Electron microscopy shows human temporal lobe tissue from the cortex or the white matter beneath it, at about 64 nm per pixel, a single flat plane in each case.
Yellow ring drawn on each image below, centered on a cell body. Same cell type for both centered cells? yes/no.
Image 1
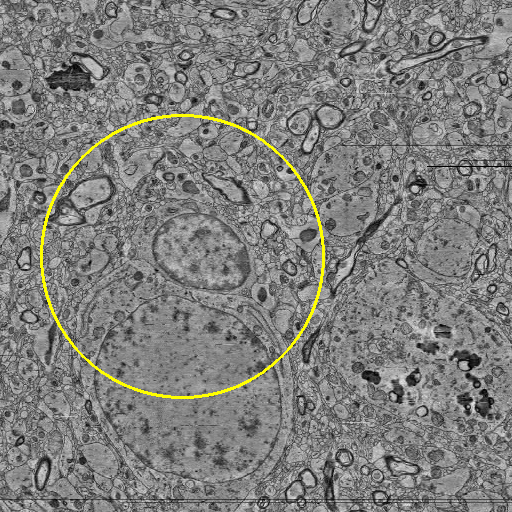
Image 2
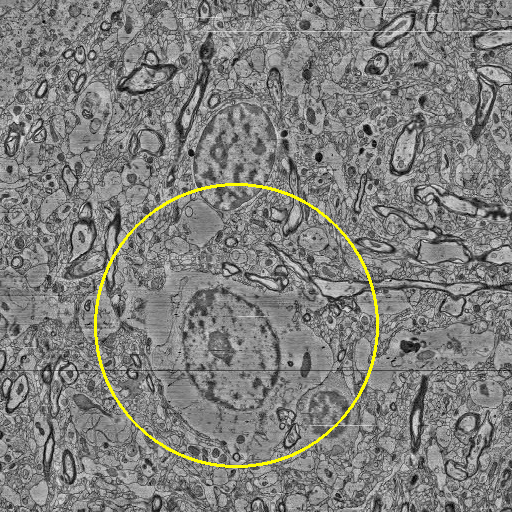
no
